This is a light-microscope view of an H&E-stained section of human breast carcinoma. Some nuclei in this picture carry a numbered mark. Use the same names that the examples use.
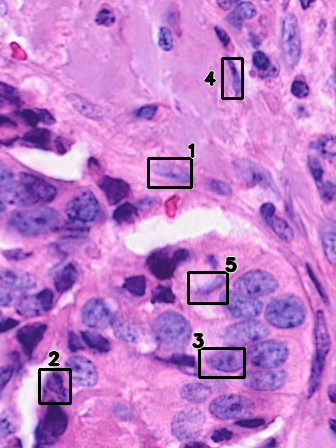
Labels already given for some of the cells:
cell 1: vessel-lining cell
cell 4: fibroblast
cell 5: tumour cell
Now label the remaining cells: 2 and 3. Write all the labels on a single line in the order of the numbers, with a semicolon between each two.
tumour cell; tumour cell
